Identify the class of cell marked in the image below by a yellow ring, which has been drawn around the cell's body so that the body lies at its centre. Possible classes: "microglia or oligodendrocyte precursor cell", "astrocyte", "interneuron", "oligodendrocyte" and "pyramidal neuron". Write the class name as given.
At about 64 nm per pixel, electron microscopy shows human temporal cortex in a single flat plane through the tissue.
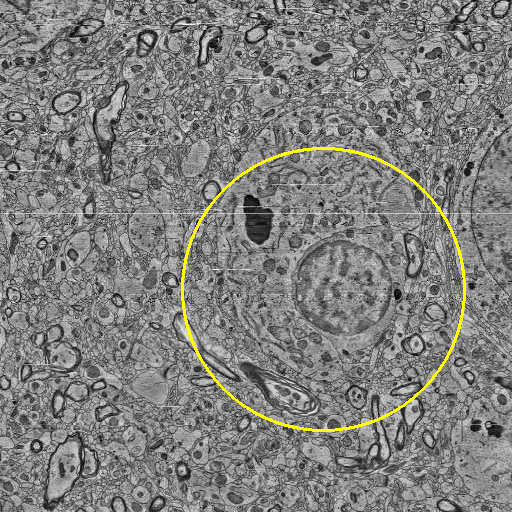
oligodendrocyte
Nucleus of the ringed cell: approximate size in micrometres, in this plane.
In this plane, approximately 6 micrometres across.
